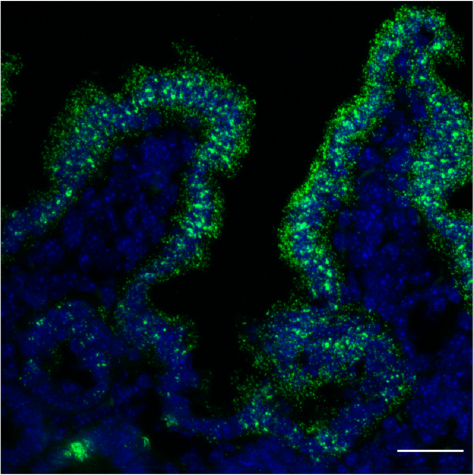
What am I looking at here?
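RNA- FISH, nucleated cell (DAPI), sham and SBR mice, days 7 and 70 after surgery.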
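These are folded intestinal villi seen at high magnification, each with an outer epithelial layer around a central core. The epithelium is made of closely packed cells whose blue nuclei form a dense band, and numerous bright green puncta crowd the cytoplasm of this layer. The central cores of the villi contain scattered blue nuclei with far fewer green dots.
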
